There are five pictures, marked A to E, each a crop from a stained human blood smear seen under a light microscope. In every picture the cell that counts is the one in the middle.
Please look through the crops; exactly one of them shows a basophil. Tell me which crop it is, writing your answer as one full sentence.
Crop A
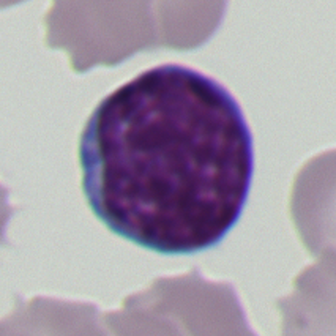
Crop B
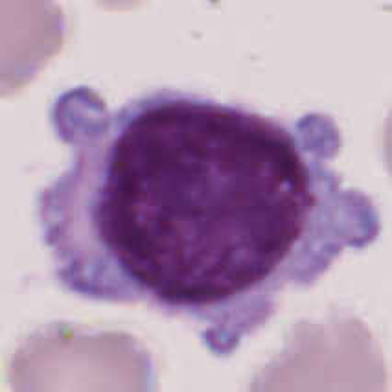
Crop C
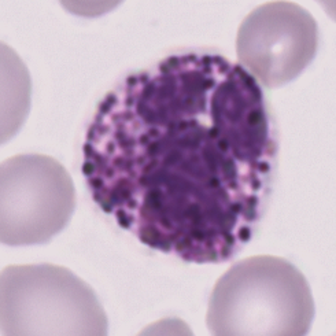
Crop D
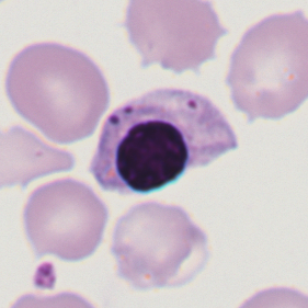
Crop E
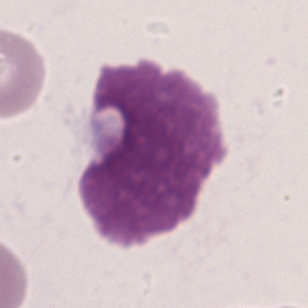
The correct choice is crop C, the one showing a basophil.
